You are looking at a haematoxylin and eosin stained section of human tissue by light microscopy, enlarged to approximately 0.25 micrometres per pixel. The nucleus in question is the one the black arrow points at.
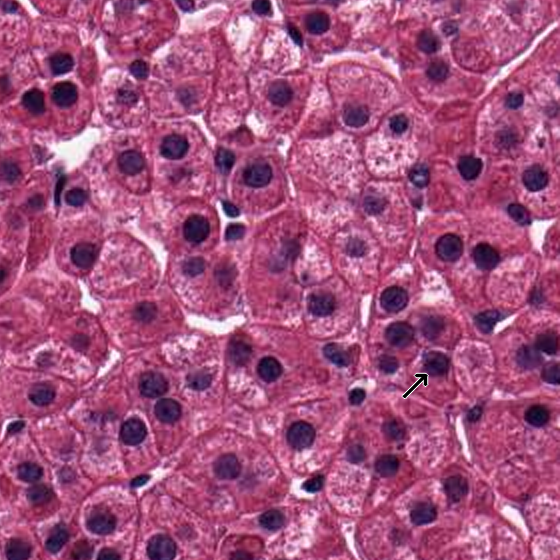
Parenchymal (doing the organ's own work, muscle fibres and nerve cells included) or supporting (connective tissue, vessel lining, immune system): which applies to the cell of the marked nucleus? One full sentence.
The marked nucleus is that of a cell of the parenchyma, namely an adrenal cortical cell.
